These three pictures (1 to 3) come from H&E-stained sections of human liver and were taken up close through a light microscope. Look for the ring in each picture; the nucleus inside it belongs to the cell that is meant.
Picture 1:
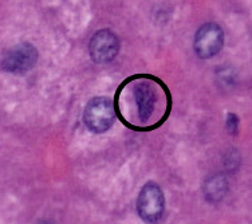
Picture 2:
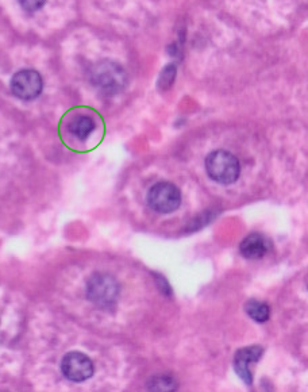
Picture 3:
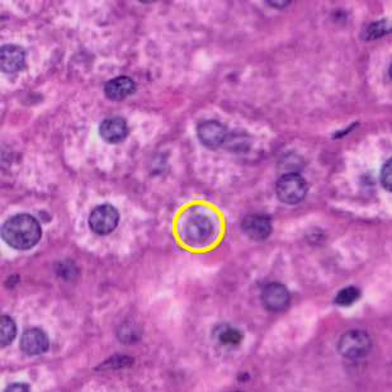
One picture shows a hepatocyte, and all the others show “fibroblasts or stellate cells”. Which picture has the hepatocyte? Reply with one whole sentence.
Picture 3 shows the hepatocyte.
